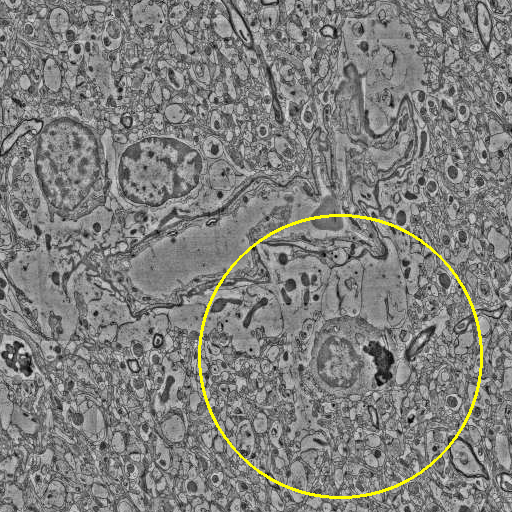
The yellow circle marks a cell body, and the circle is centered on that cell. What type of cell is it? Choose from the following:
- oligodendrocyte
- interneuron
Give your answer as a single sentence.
This cell body belongs to an oligodendrocyte.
